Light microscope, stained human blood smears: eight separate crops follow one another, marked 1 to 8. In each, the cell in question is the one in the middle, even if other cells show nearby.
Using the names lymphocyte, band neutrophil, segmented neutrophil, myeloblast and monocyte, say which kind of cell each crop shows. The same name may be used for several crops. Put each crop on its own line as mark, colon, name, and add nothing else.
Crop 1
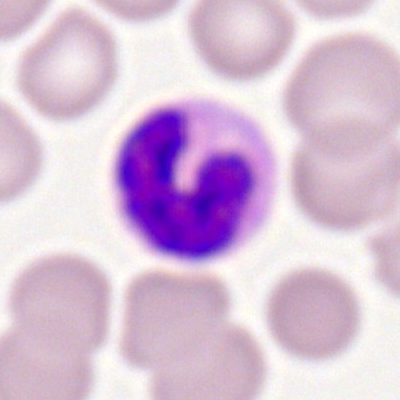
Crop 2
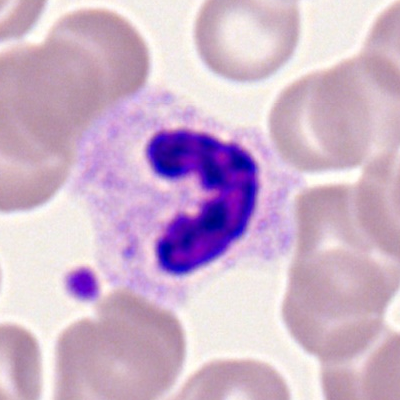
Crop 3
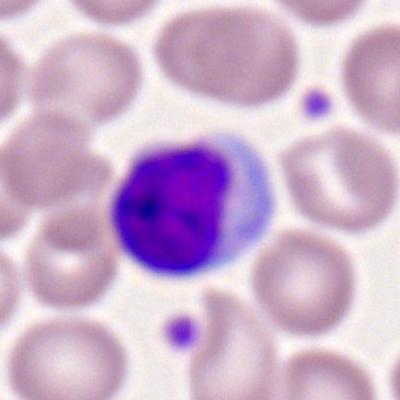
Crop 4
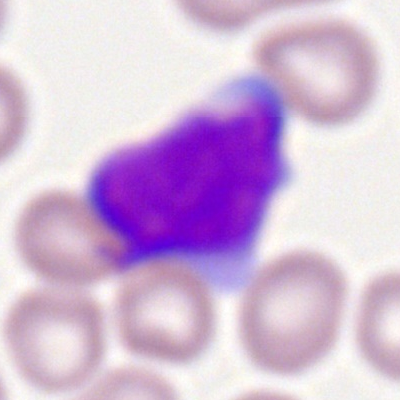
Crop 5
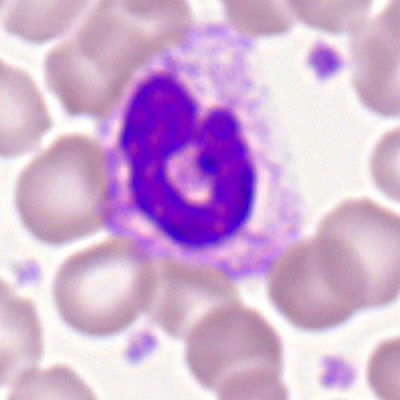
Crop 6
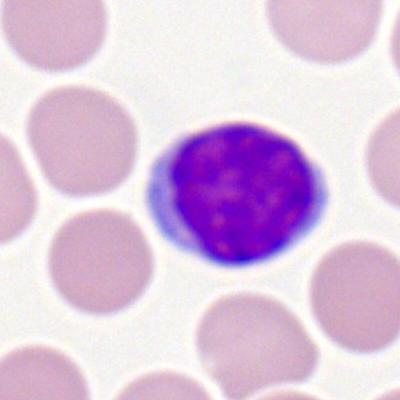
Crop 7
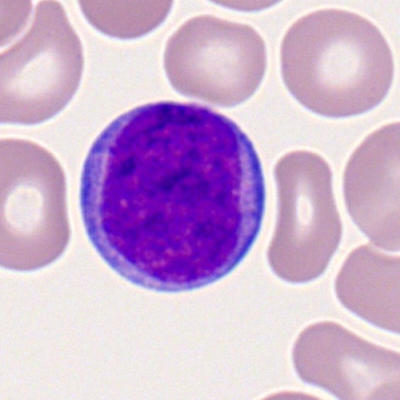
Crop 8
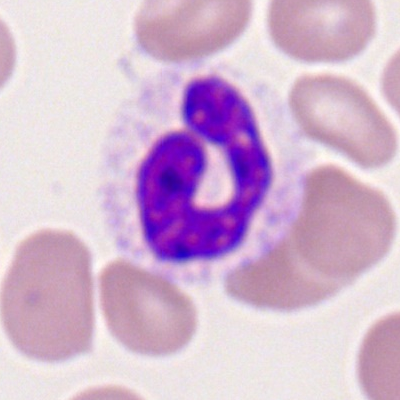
1: band neutrophil
2: band neutrophil
3: lymphocyte
4: myeloblast
5: band neutrophil
6: lymphocyte
7: myeloblast
8: band neutrophil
